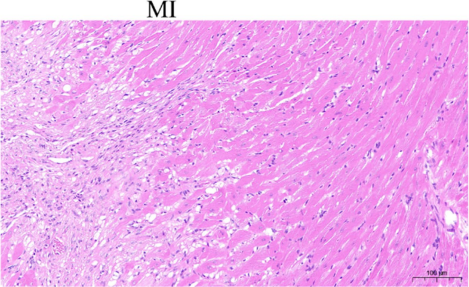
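On the right the fibres still run roughly parallel, elongated and pink, each with a few oval nuclei. Toward the centre and left the fibres become pale, irregular and fragmented, and the spaces between them are crowded with many small, dark, round to oval nuclei of infiltrating inflammatory cells, far denser than the nuclei of intact muscle. The loose, paler areas between surviving fibres give the tissue a disorganised, patchy look compared with regular myocardium.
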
